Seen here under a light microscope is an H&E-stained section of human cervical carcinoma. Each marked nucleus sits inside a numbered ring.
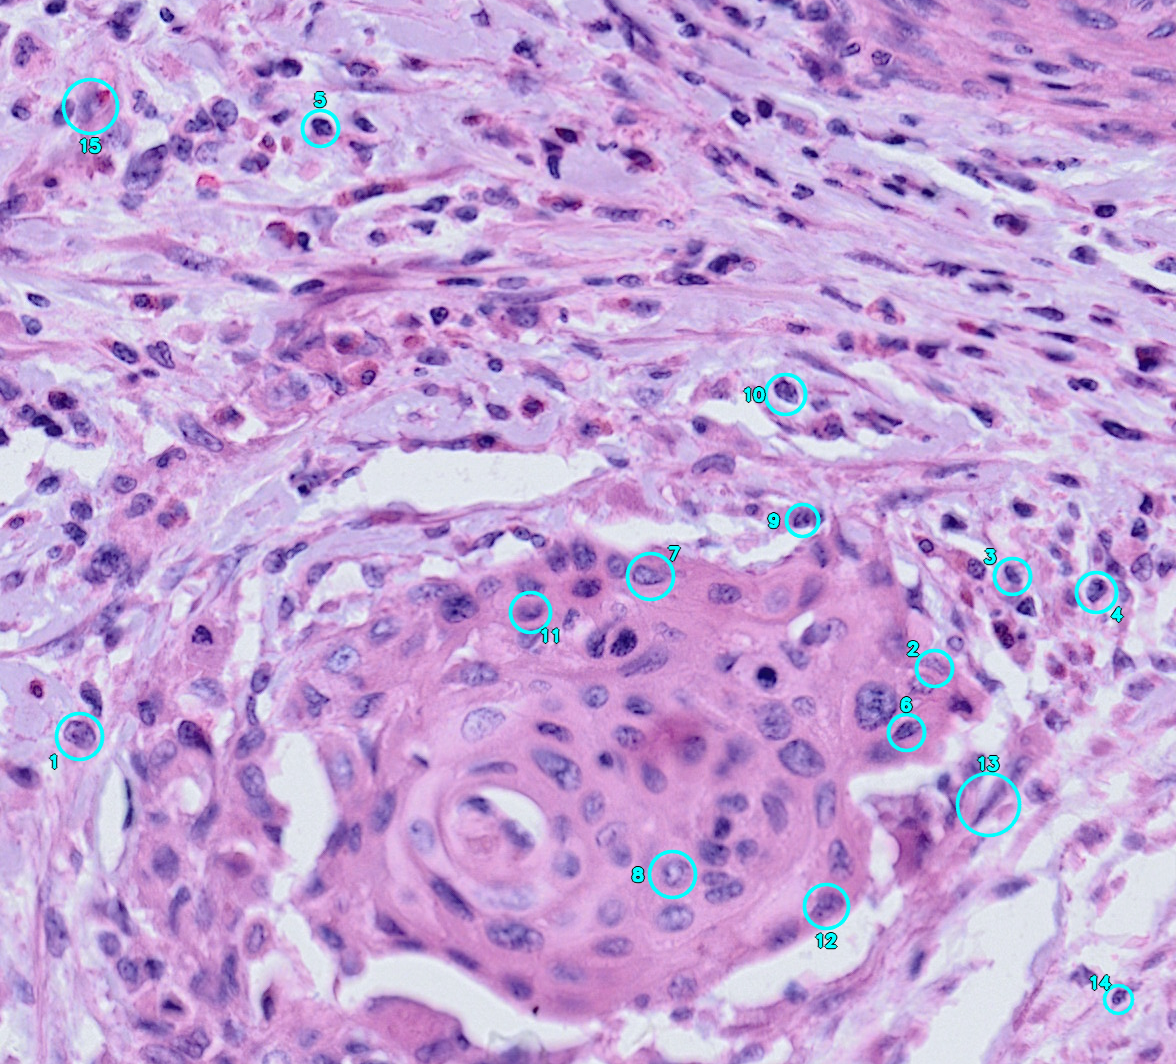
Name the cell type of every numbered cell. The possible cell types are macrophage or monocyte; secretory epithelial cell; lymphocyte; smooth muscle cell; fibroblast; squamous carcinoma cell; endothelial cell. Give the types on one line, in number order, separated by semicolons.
macrophage or monocyte; squamous carcinoma cell; lymphocyte; lymphocyte; lymphocyte; squamous carcinoma cell; squamous carcinoma cell; squamous carcinoma cell; macrophage or monocyte; lymphocyte; squamous carcinoma cell; squamous carcinoma cell; fibroblast; lymphocyte; endothelial cell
